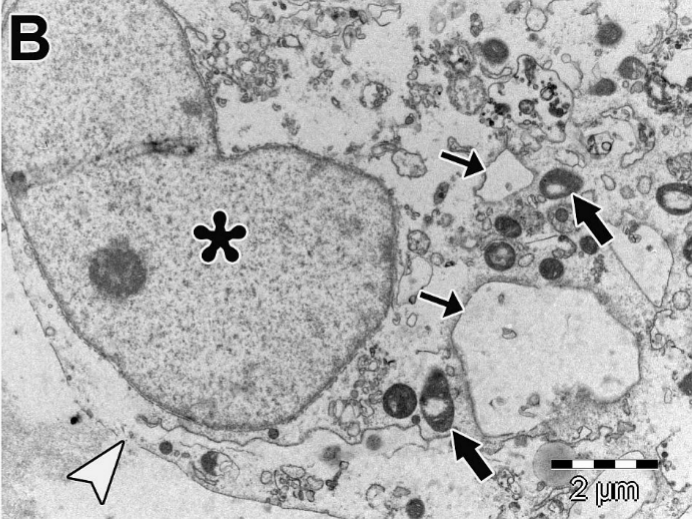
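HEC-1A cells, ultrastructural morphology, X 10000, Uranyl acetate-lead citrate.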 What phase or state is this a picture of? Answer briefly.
Necrotic.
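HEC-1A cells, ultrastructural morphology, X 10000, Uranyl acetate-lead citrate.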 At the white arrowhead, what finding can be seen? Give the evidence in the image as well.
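Ruptured plasma membrane. The arrowhead points to the cell border where the outer membrane is discontinuous.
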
